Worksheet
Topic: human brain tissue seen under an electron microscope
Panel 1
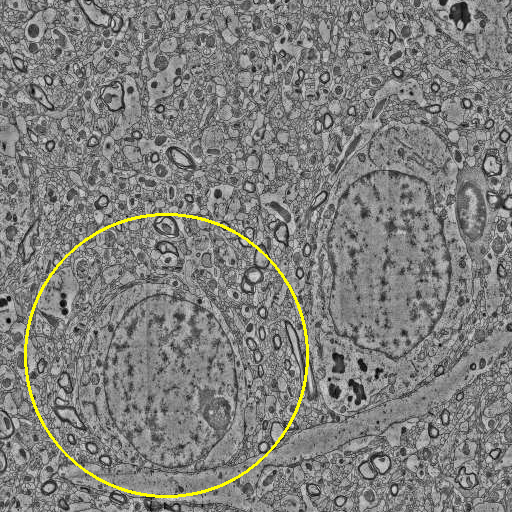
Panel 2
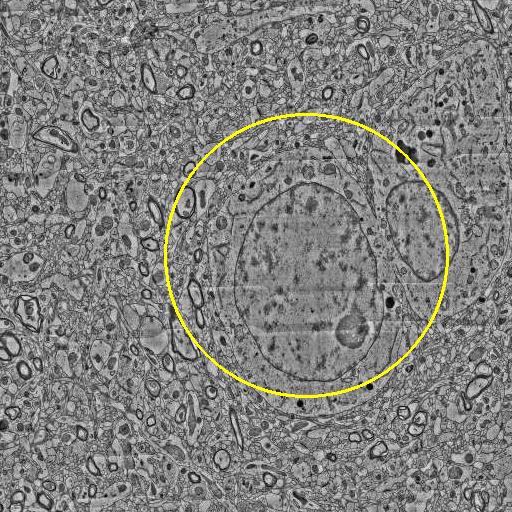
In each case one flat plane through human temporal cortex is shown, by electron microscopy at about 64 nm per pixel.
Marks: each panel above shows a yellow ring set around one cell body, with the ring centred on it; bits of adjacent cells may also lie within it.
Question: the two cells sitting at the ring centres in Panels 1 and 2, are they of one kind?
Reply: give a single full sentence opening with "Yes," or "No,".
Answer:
No, the two ring-centre cells in Panel 1 and Panel 2 are of two kinds.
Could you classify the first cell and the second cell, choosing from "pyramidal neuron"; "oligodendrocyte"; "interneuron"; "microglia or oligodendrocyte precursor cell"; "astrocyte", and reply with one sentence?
The second cell is a pyramidal neuron, while the first is an interneuron.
